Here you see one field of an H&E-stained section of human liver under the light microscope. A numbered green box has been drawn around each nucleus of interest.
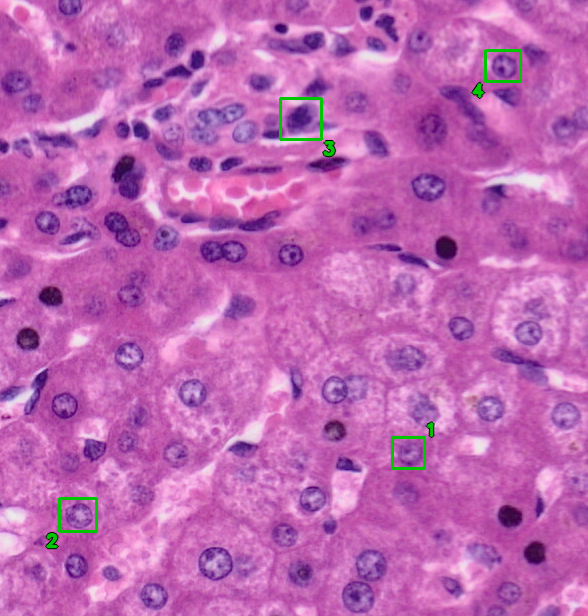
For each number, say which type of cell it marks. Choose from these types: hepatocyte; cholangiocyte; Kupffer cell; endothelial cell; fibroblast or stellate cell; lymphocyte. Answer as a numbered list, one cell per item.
1. hepatocyte
2. hepatocyte
3. fibroblast or stellate cell
4. hepatocyte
